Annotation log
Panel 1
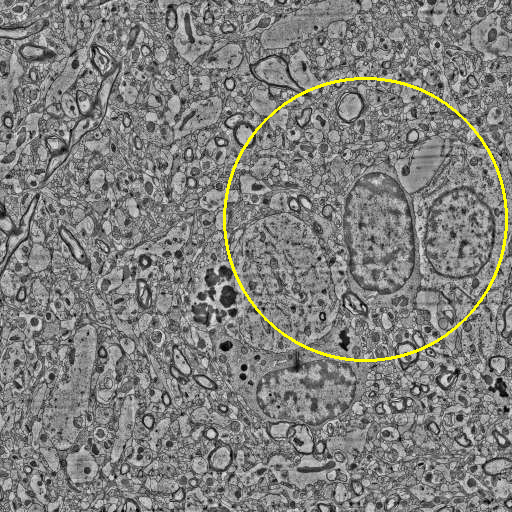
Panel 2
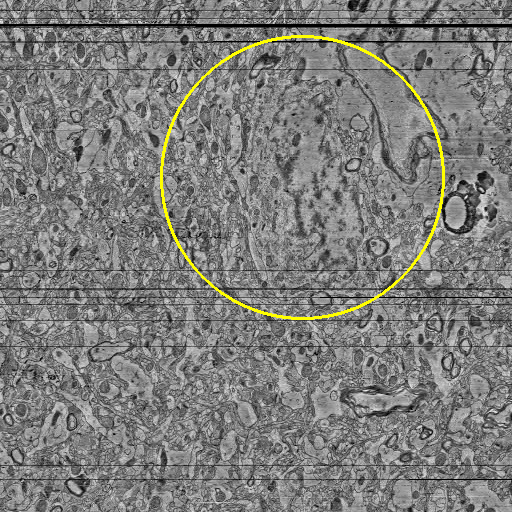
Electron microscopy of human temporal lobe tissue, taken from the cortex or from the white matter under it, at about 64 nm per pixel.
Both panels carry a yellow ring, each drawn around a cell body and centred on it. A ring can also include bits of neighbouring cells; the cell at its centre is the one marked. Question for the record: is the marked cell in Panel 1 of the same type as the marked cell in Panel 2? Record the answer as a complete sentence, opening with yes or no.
No, the marked cells in Panel 1 and Panel 2 are of two types.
